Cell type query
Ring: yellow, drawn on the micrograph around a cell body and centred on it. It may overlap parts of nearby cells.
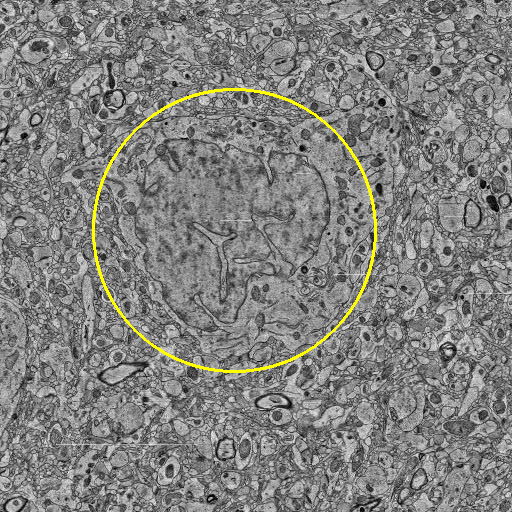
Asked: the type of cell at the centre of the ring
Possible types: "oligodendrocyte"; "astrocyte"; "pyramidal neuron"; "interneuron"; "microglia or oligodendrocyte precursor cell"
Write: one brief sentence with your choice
The ring marks an interneuron.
